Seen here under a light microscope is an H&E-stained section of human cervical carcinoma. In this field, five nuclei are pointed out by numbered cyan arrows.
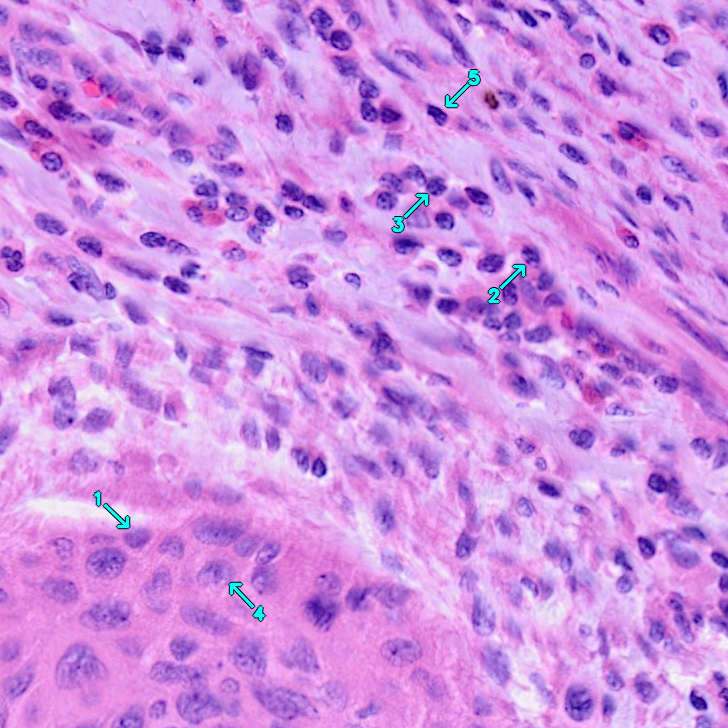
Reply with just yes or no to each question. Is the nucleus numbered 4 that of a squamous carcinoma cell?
yes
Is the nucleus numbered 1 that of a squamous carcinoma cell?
yes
